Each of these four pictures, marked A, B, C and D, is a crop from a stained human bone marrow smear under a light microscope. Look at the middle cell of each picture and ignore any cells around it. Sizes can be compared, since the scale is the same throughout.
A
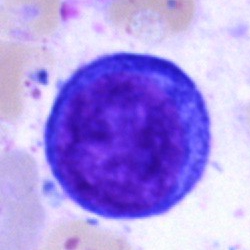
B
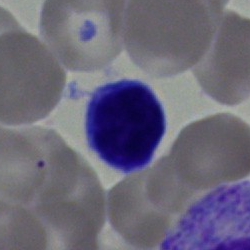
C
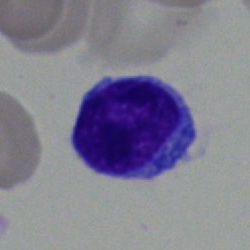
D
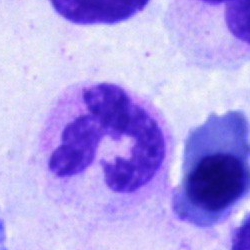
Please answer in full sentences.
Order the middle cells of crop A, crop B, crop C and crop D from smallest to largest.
Going up, they run B, C, D, A.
